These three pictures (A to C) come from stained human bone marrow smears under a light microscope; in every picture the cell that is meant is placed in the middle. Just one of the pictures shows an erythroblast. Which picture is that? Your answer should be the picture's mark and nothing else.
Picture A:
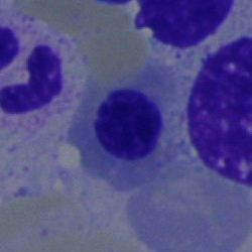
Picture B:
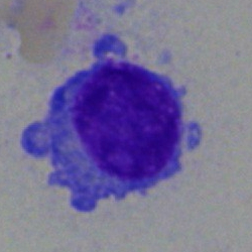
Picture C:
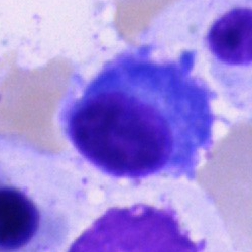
A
